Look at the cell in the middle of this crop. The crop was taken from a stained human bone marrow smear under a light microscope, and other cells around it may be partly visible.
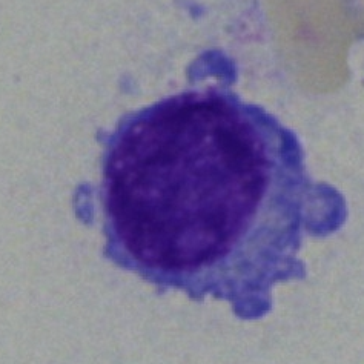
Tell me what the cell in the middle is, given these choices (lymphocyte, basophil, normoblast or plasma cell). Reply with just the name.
plasma cell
